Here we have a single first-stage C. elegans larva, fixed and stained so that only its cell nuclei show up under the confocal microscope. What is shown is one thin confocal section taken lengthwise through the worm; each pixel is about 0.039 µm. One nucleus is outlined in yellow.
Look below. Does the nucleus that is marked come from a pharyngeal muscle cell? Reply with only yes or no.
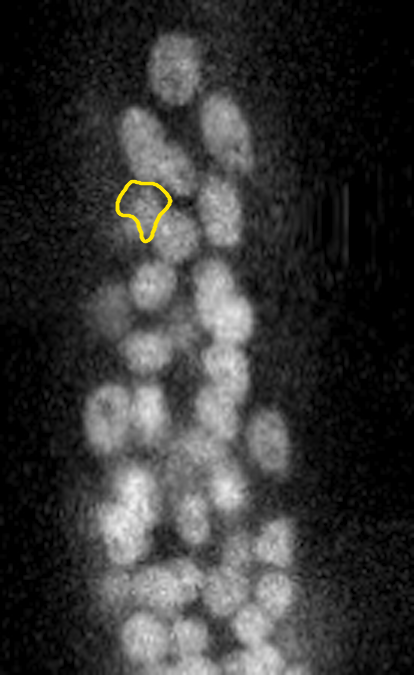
no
